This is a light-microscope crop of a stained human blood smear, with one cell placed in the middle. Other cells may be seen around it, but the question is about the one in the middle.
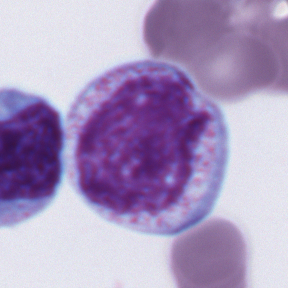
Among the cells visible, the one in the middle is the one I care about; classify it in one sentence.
Here the cell in the middle is a myelocyte.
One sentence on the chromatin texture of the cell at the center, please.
In this cell the chromatin is fine rather than coarsely clumped.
